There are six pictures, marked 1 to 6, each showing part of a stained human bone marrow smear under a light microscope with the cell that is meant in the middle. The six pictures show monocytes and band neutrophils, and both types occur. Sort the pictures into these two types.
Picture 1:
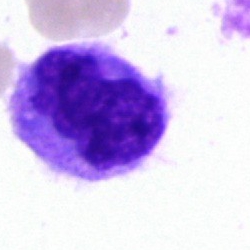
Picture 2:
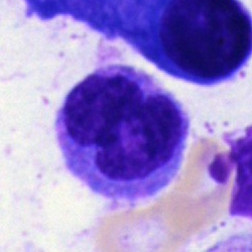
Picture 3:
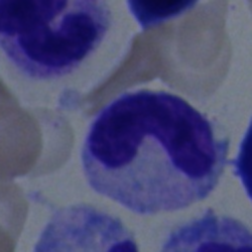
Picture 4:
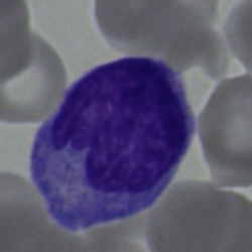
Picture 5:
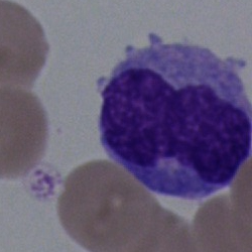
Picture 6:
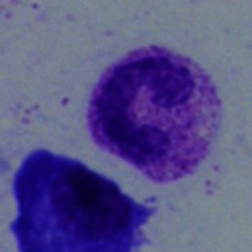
1: monocyte
2: monocyte
3: band neutrophil
4: monocyte
5: monocyte
6: band neutrophil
